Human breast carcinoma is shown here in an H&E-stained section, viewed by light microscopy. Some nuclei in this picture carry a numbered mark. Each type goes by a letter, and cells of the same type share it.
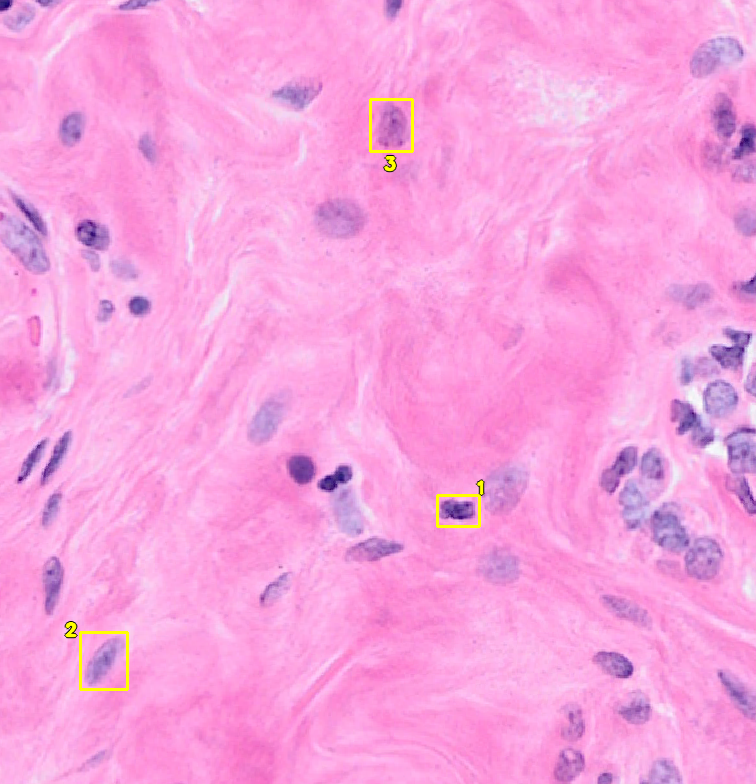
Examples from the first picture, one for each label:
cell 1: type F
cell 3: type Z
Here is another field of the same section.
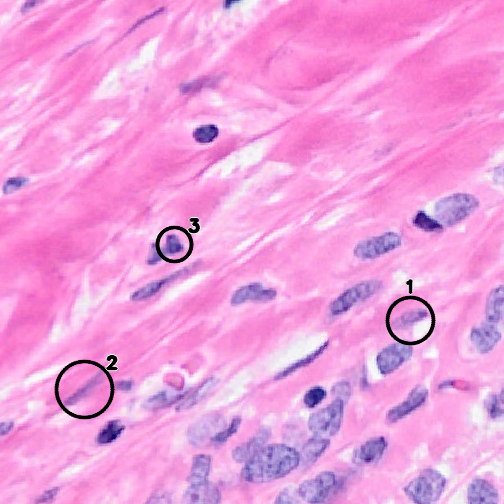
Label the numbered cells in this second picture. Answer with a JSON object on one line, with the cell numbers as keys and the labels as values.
{"1": "type Z", "2": "type Z", "3": "type F"}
